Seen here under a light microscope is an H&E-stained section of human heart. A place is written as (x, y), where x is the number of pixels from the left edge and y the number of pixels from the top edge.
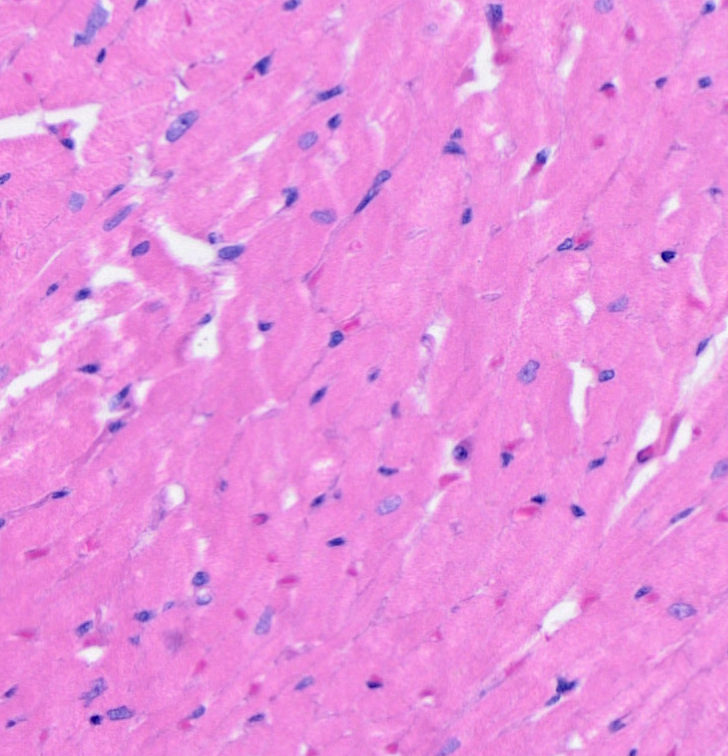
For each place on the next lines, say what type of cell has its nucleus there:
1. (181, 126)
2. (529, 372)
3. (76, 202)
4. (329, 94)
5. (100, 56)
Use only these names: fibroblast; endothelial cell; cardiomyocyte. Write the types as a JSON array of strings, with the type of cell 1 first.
["cardiomyocyte", "cardiomyocyte", "cardiomyocyte", "fibroblast", "endothelial cell"]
